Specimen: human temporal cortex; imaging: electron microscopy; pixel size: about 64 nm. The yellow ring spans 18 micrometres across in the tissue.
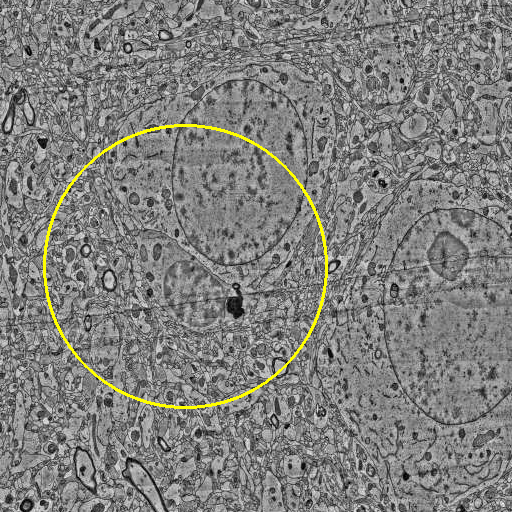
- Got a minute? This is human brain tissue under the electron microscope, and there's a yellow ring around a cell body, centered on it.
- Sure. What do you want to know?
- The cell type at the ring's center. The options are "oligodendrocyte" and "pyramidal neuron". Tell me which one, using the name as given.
oligodendrocyte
